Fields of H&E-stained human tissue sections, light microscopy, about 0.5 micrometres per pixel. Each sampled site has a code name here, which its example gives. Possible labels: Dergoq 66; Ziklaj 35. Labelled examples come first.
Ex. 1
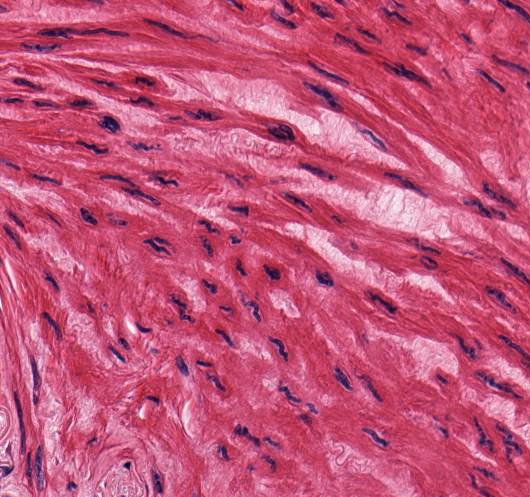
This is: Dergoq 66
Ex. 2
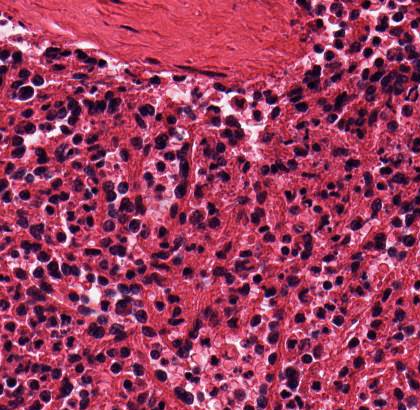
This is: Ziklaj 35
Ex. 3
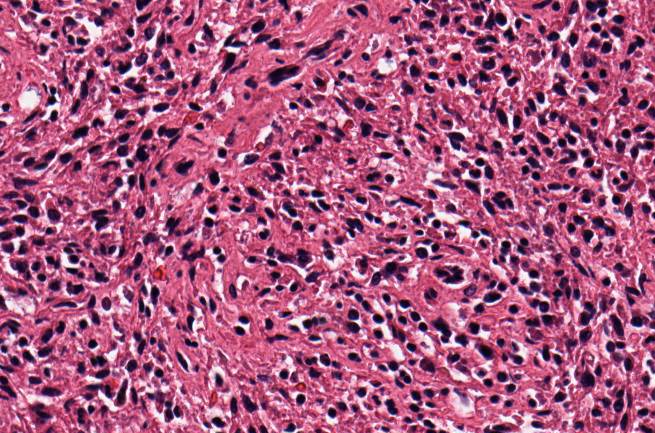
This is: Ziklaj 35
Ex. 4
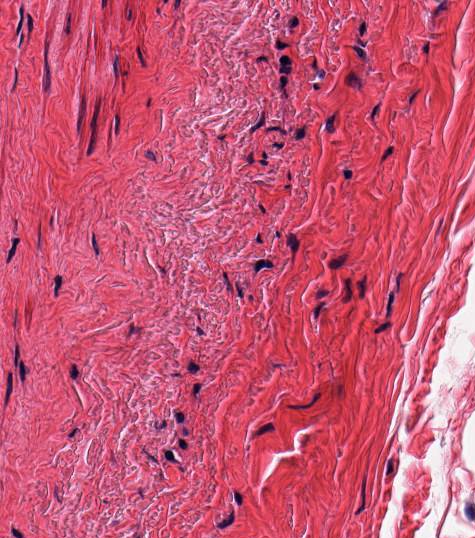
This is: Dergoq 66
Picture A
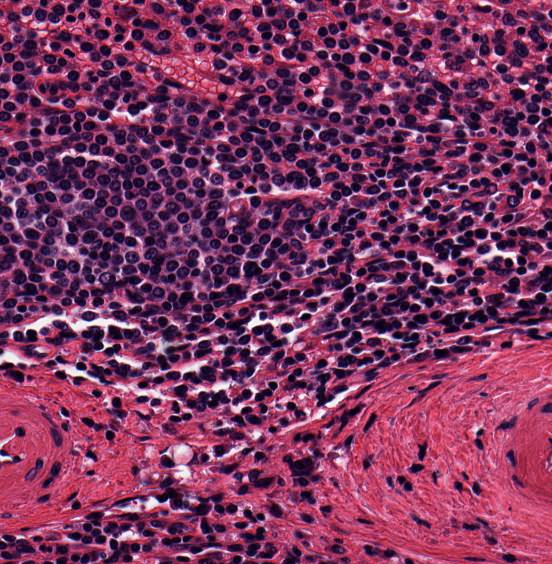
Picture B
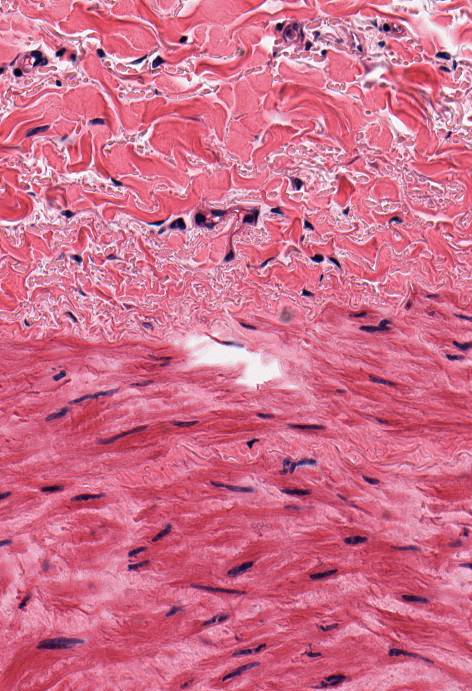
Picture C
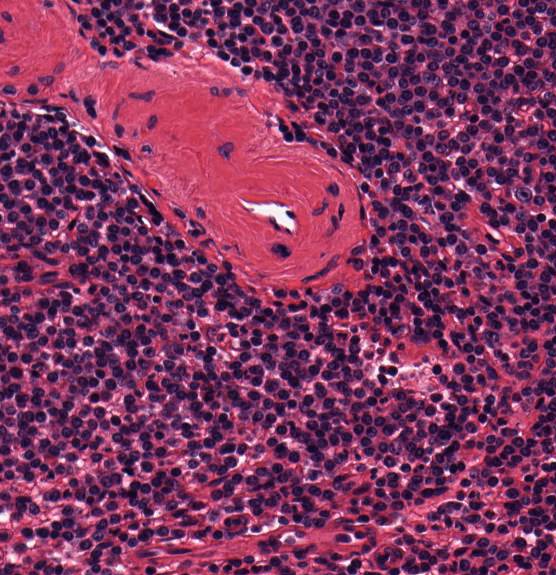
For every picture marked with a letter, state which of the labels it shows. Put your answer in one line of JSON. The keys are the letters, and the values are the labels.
{"A": "Ziklaj 35", "B": "Dergoq 66", "C": "Ziklaj 35"}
